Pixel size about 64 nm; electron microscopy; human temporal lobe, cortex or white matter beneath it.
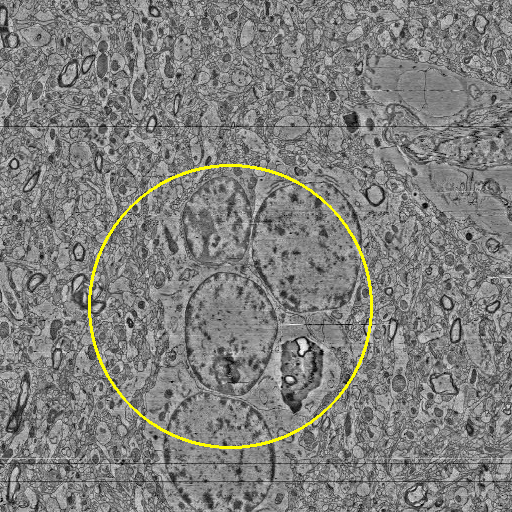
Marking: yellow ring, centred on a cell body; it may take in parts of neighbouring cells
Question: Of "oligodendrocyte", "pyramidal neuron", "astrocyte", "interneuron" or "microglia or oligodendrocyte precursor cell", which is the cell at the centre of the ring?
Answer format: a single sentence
The ring surrounds the body of an astrocyte.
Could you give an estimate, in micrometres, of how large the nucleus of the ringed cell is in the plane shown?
The ringed cell's nucleus is about 8 micrometres long and 6 micrometres wide in this plane.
